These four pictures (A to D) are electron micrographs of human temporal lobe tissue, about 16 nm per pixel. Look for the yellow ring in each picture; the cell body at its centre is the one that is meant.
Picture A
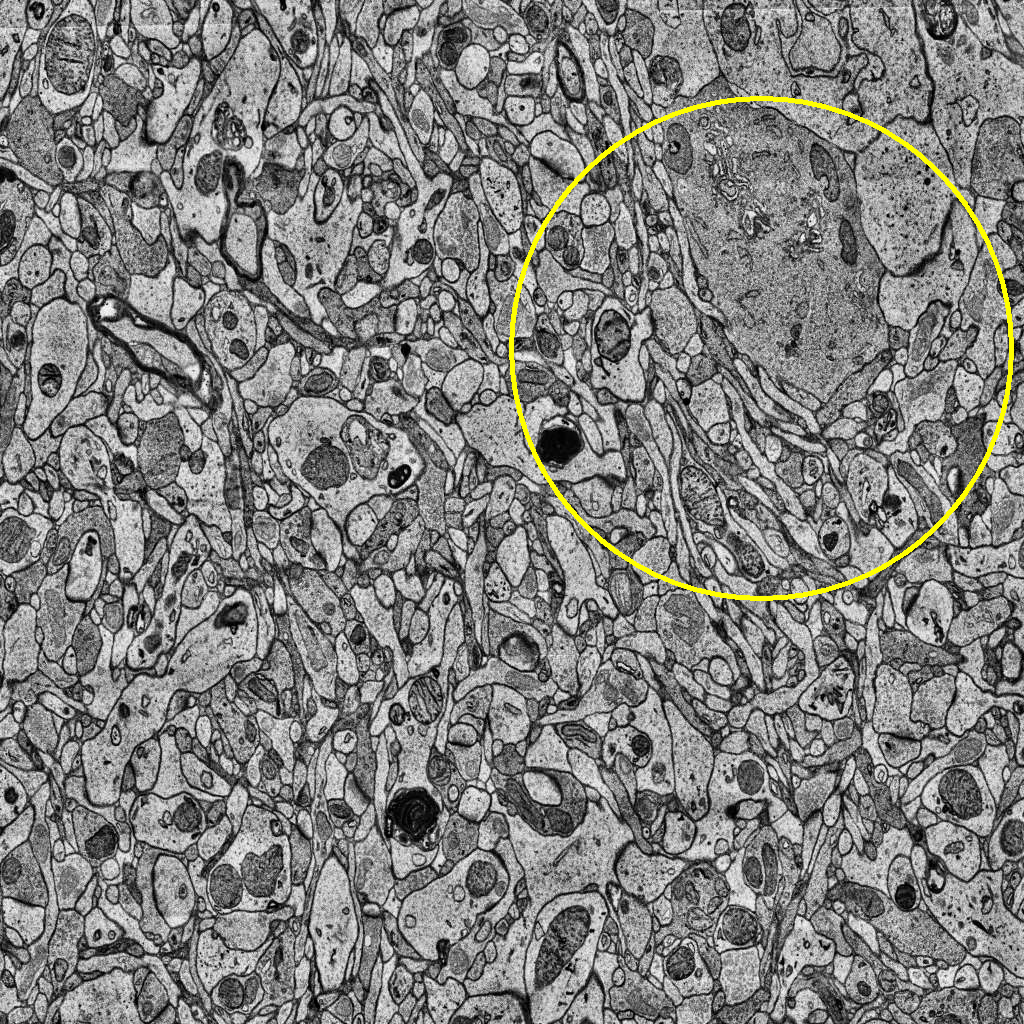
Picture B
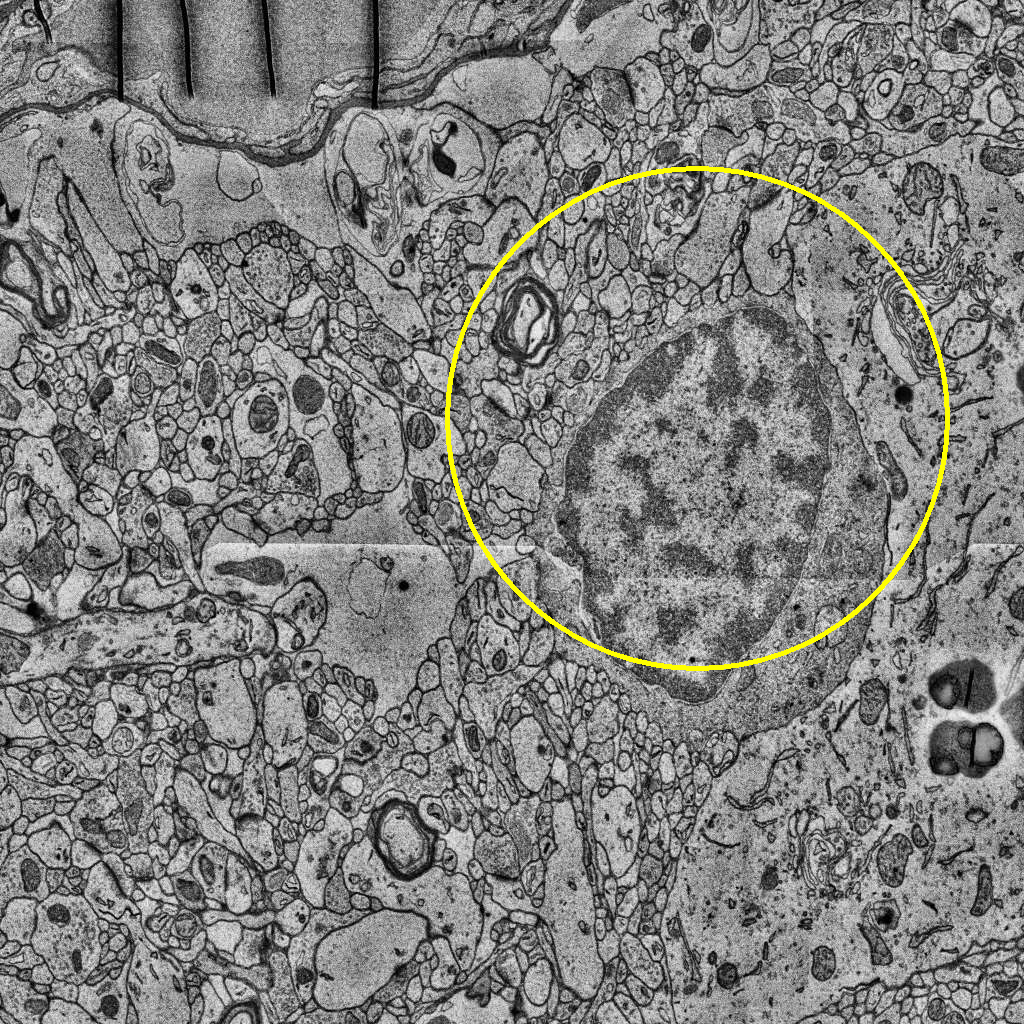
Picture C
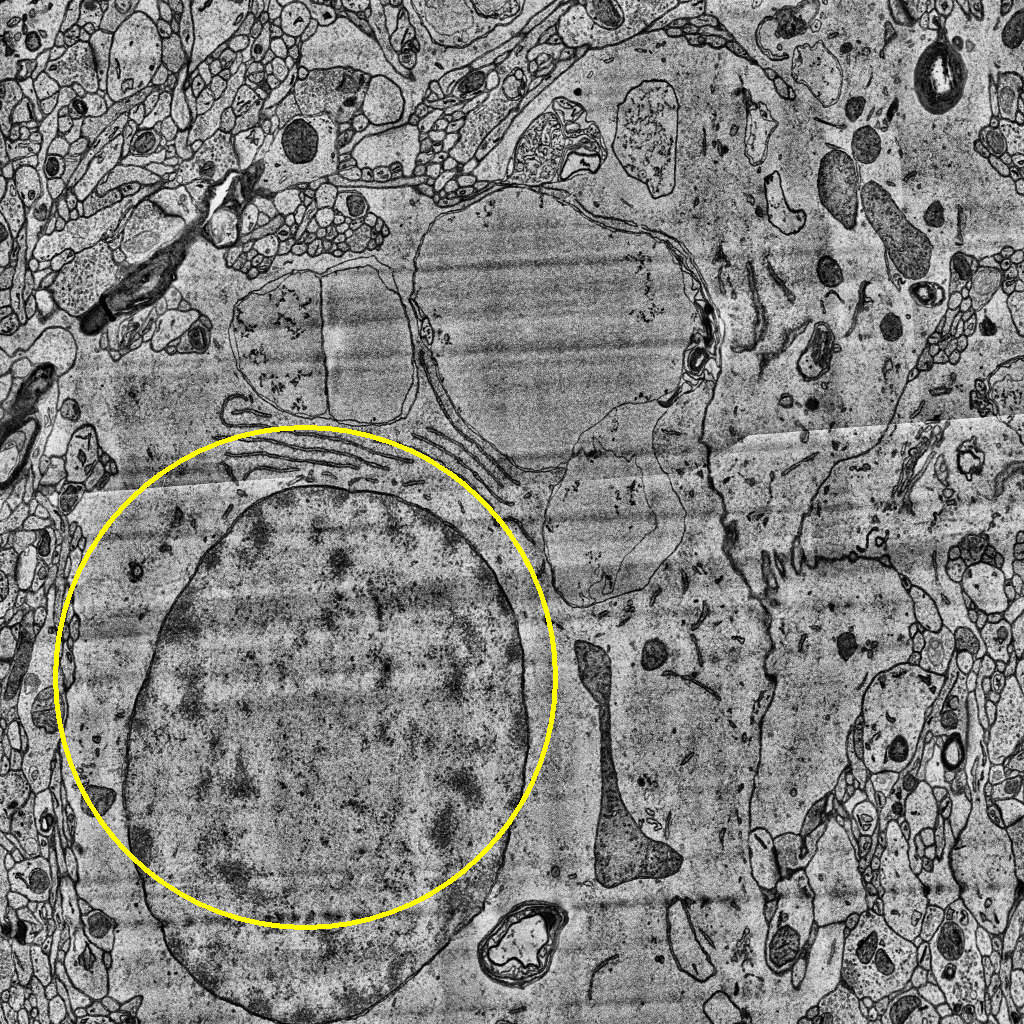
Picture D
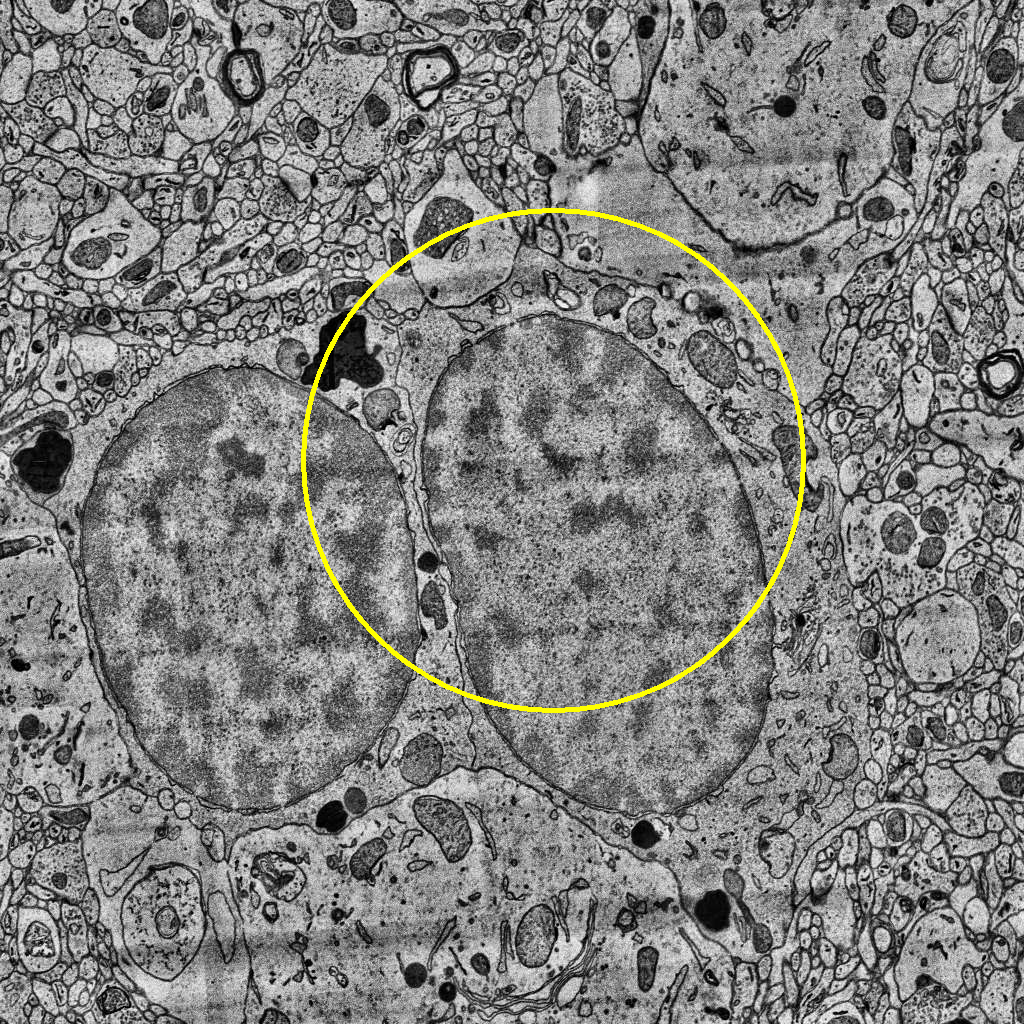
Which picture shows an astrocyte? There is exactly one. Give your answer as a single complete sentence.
Picture C shows the astrocyte.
